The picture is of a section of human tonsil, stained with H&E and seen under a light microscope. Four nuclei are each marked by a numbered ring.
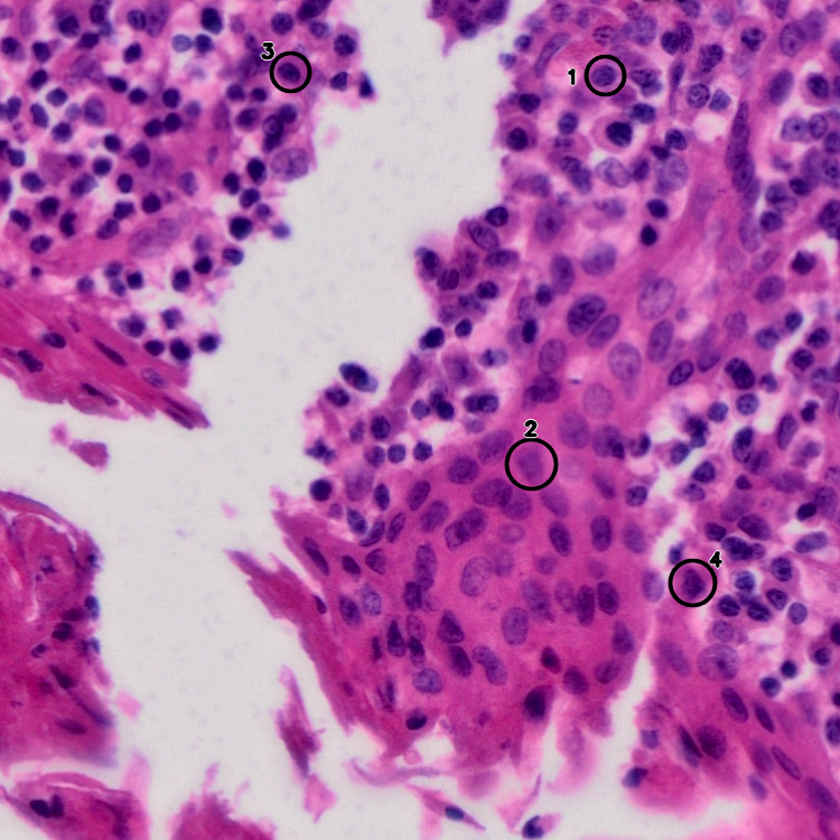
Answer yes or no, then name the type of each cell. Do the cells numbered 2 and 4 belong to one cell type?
Yes, the two cells marked 2 and 4 are both squamous epithelial cells.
